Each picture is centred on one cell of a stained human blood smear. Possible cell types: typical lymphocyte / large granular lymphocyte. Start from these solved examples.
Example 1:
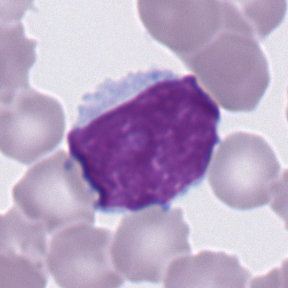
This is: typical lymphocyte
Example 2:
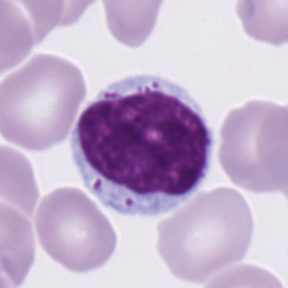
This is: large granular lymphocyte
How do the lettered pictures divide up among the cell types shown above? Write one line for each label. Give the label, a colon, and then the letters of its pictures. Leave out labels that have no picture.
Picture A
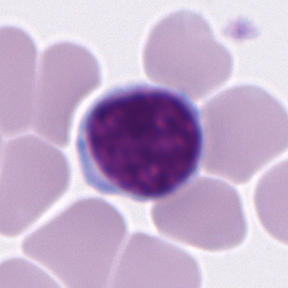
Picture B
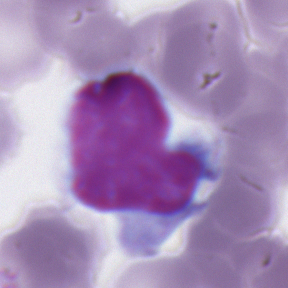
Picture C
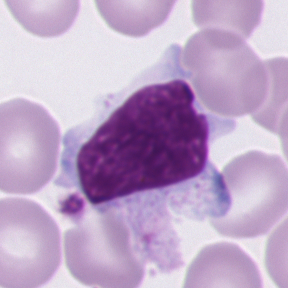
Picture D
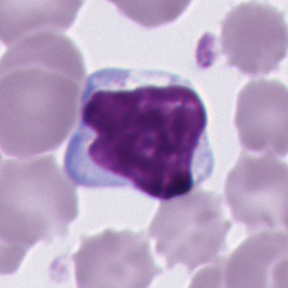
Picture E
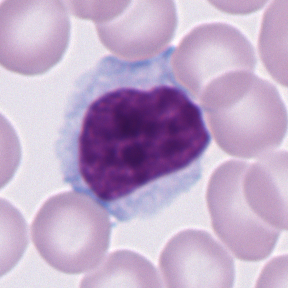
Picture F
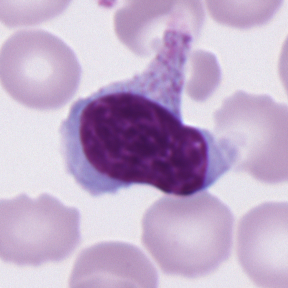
typical lymphocyte: A, B, D, E
large granular lymphocyte: C, F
